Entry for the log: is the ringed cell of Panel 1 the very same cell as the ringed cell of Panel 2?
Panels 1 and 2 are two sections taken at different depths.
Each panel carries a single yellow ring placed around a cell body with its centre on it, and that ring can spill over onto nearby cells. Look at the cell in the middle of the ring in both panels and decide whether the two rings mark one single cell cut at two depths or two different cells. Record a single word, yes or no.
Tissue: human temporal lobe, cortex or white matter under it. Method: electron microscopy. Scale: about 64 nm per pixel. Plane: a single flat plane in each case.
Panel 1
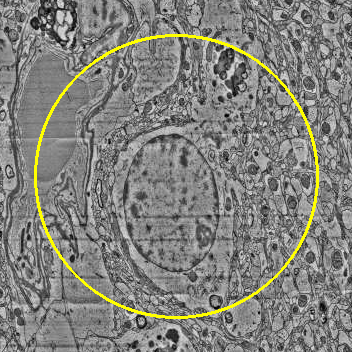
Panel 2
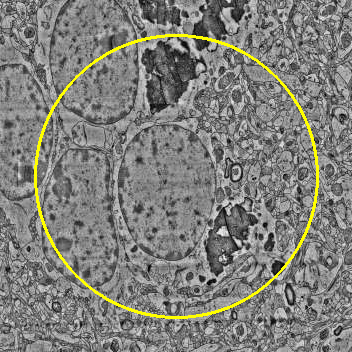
no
